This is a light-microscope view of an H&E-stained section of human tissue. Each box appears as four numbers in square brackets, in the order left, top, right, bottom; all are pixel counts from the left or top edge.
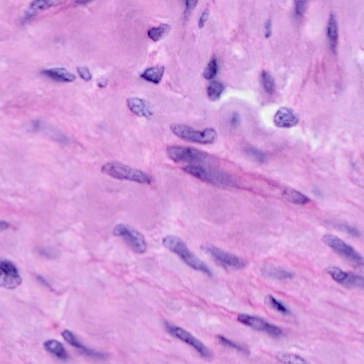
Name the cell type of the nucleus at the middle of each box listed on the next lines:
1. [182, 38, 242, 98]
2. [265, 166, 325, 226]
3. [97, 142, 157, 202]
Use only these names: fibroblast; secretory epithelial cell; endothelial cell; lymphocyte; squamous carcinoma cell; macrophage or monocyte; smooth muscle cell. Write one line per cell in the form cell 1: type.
cell 1: fibroblast
cell 2: smooth muscle cell
cell 3: fibroblast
